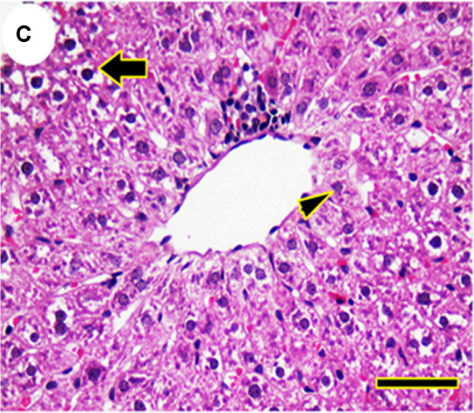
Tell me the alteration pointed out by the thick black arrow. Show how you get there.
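Hydropic degeneration. Hepatocytes across the field have pale, cleared, finely vacuolated cytoplasm. The marked cell is swollen with a pale rim around its nucleus.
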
